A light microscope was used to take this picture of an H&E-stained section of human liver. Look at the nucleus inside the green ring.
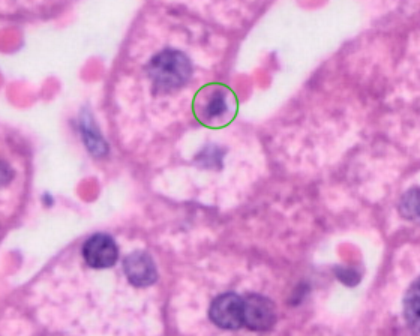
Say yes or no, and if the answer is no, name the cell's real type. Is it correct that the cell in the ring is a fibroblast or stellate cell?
Yes.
